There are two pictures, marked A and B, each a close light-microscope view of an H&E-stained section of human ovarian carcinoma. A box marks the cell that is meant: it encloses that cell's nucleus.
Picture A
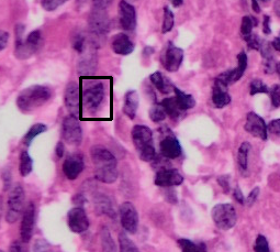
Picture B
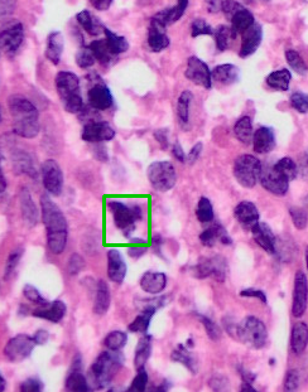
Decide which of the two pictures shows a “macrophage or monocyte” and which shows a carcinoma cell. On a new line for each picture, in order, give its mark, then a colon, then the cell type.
A: macrophage or monocyte
B: carcinoma cell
